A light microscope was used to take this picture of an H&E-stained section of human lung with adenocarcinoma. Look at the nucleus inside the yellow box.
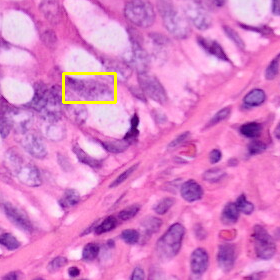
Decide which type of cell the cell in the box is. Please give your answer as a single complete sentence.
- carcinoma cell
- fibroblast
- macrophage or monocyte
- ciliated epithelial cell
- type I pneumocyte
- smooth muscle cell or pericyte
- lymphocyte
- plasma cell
The identity of the cell in the box is that of a ciliated epithelial cell.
